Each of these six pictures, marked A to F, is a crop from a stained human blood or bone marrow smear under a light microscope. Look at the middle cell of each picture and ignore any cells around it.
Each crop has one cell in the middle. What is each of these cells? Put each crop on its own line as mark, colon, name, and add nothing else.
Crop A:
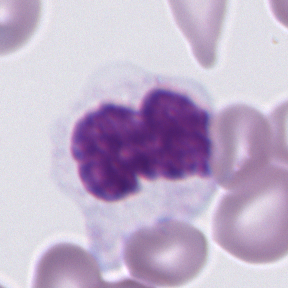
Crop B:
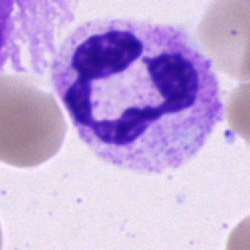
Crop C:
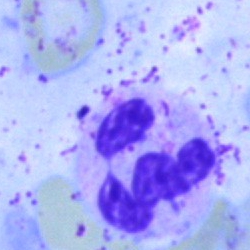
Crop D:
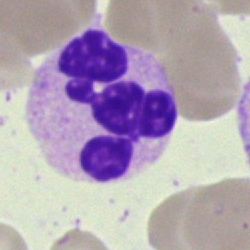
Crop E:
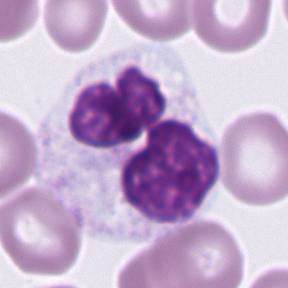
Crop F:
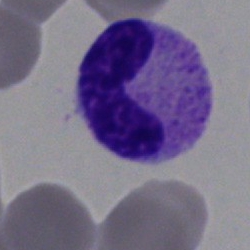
A: segmented neutrophil
B: segmented neutrophil
C: segmented neutrophil
D: segmented neutrophil
E: segmented neutrophil
F: band neutrophil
